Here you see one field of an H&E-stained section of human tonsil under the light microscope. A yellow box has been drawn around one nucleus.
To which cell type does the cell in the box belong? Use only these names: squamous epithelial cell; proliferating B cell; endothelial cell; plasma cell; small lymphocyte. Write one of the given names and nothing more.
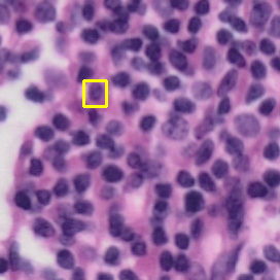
endothelial cell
